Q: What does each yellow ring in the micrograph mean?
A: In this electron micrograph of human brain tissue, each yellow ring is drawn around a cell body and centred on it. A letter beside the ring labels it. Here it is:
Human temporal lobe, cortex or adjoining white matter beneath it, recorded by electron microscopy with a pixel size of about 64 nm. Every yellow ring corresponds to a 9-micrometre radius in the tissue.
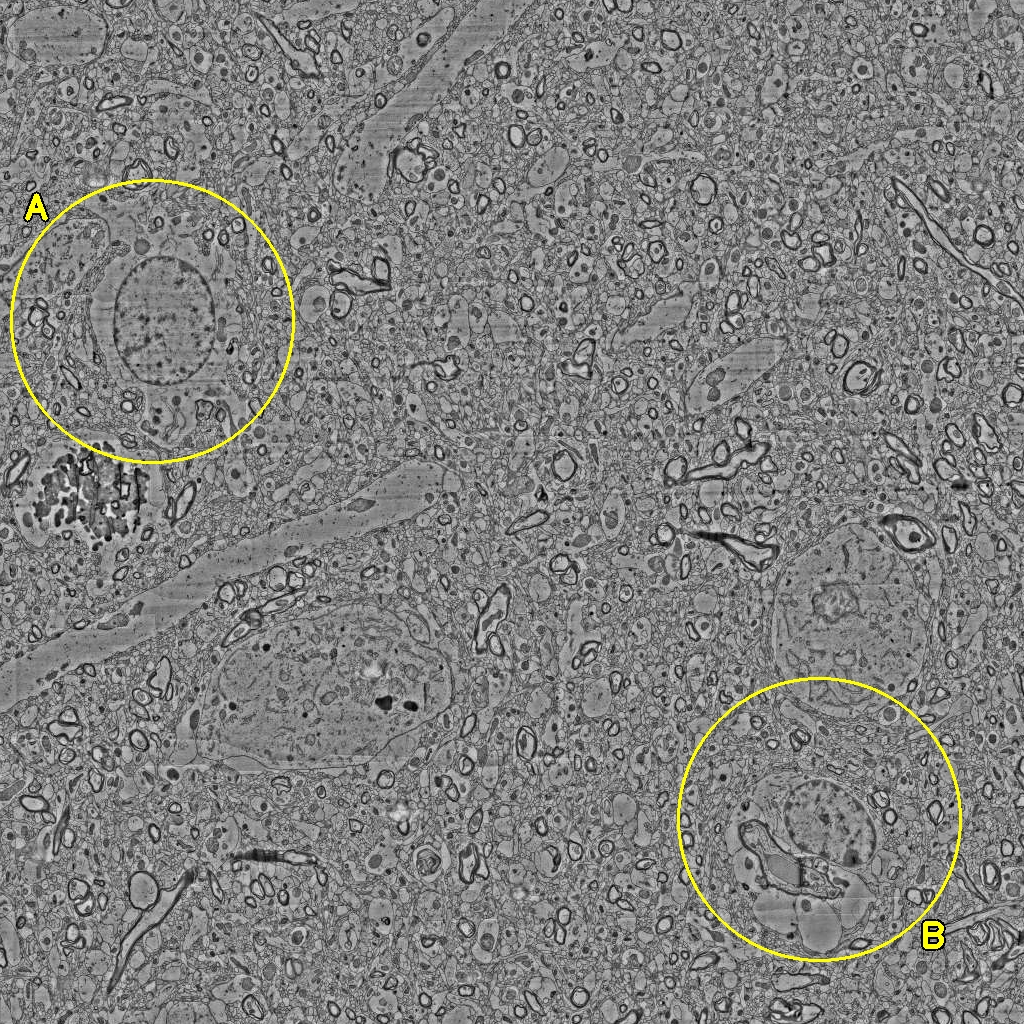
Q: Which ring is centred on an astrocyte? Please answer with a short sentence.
Ring A is the one centred on it.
